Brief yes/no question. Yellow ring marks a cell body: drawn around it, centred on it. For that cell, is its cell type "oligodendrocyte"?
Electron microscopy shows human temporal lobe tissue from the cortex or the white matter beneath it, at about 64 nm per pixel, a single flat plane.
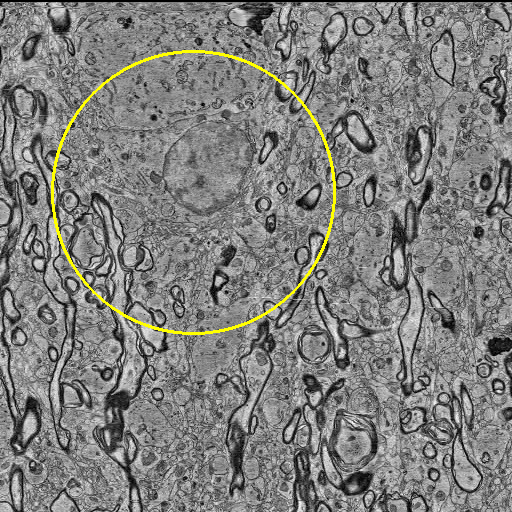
Yes, that is the cell type.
